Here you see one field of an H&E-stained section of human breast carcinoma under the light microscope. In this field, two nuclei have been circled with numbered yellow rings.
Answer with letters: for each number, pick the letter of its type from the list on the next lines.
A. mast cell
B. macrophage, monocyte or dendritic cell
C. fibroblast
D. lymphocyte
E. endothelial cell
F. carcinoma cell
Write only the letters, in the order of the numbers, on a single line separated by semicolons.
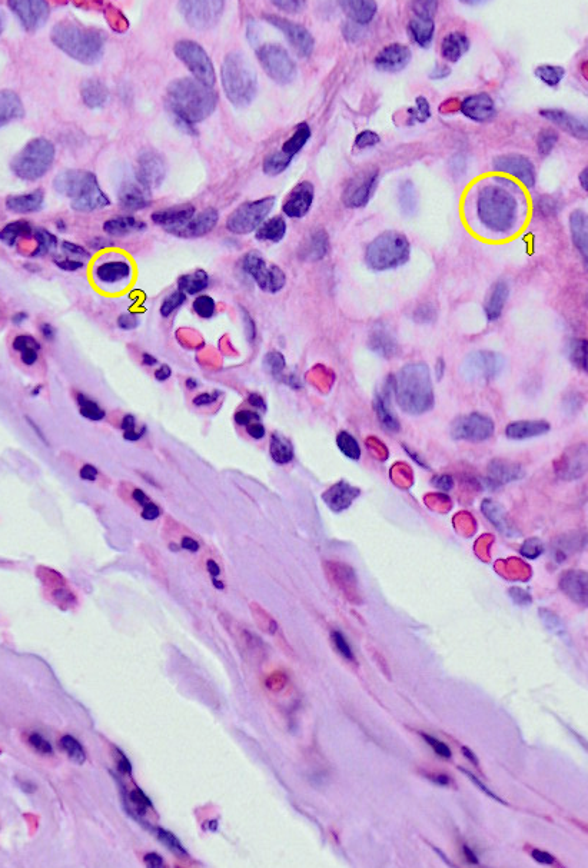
F; D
